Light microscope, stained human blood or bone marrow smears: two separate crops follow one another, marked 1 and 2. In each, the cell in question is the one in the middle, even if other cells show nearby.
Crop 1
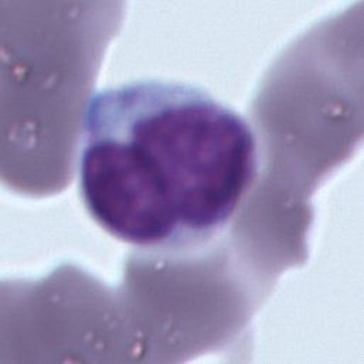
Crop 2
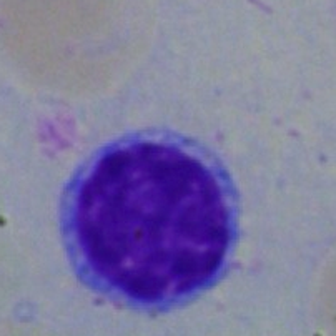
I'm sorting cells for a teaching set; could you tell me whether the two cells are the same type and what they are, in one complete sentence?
Yes, the central cells in both of the crops are lymphocytes.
